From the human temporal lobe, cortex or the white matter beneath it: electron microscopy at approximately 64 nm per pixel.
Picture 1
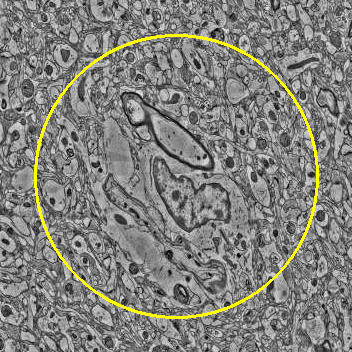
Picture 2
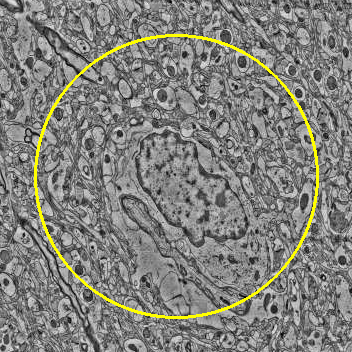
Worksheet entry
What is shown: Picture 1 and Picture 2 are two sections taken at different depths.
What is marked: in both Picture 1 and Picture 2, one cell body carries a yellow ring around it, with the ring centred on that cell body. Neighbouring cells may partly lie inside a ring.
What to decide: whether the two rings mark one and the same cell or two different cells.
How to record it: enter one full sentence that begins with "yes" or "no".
Yes, the two rings encircle a single cell, not a pair.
